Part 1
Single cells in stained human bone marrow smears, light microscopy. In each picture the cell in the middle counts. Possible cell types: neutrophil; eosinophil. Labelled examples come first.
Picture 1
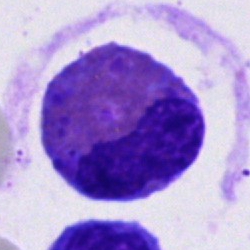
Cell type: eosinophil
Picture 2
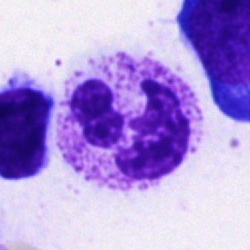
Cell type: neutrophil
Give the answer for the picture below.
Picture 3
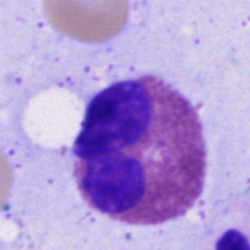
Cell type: eosinophil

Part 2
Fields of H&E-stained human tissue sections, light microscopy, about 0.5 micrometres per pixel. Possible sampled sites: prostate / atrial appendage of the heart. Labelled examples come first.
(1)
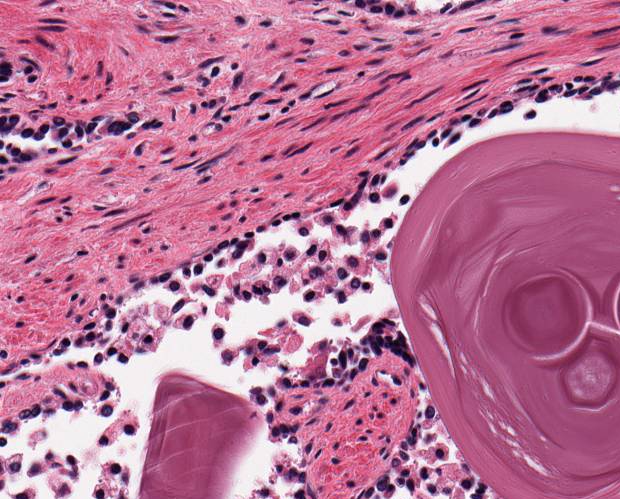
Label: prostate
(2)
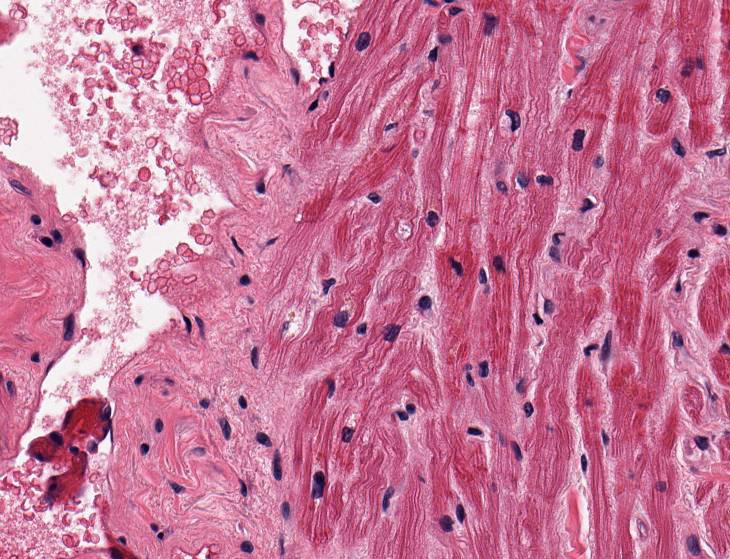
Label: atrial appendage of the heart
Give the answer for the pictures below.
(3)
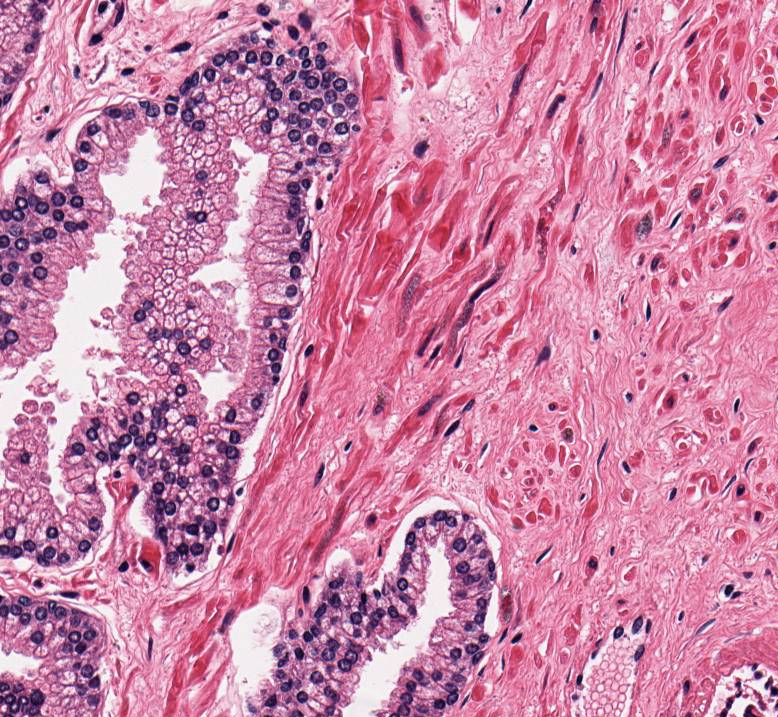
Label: prostate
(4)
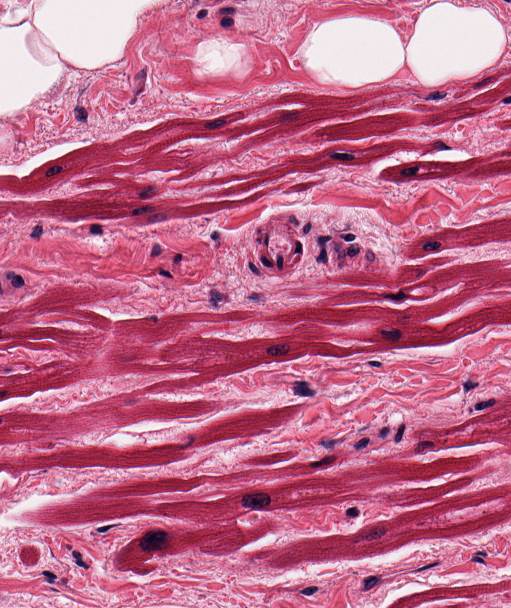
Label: atrial appendage of the heart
